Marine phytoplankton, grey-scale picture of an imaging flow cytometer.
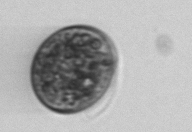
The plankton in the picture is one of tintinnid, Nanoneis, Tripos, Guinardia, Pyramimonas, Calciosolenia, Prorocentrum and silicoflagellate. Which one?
Prorocentrum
